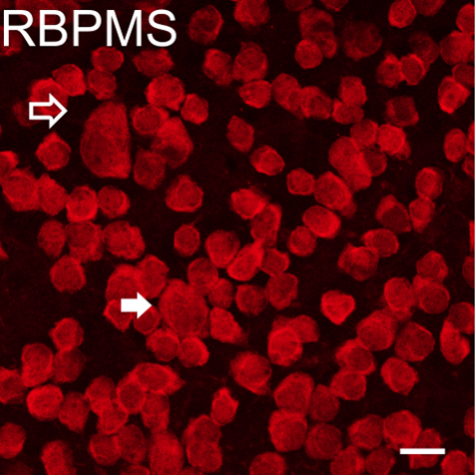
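This wholemount view of the retina shows a densely packed layer of neuronal cell bodies, mostly ganglion cells, seen from above. The red label fills the cytoplasm, often more brightly at the rim, while the centre of many cells is somewhat paler. Cell bodies vary in size, with a few distinctly larger somata scattered among the many smaller ones. No processes or fibre bundles are visible with this label.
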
